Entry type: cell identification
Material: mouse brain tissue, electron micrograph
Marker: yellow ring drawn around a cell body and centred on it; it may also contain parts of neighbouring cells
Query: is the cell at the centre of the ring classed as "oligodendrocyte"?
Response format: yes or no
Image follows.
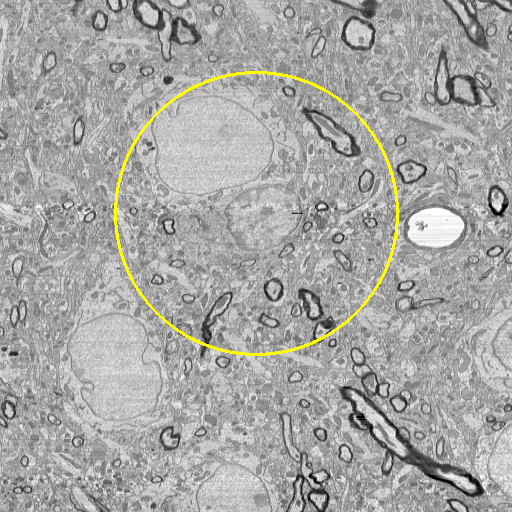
yes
